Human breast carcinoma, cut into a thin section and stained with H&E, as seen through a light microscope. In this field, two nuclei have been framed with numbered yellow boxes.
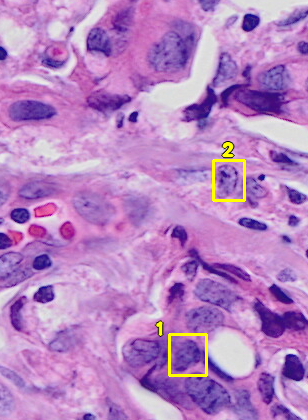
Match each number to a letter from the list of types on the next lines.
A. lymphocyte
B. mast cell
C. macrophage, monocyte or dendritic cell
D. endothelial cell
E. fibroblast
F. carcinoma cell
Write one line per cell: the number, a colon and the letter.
1: F
2: C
